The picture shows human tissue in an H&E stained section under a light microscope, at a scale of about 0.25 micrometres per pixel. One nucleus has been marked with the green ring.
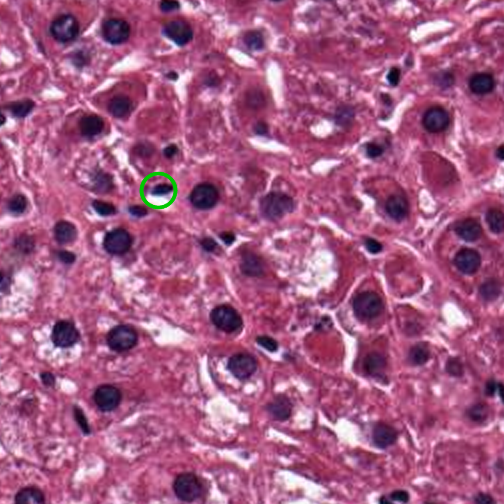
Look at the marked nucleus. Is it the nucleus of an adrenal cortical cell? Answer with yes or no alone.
no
